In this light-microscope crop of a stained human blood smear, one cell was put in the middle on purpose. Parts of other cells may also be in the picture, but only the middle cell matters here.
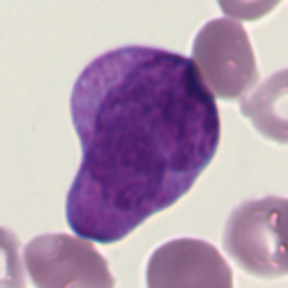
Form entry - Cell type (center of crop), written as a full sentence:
The cell at the middle of the crop is recognized as an atypical promyelocyte.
